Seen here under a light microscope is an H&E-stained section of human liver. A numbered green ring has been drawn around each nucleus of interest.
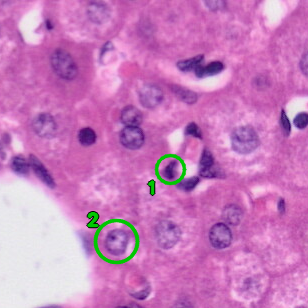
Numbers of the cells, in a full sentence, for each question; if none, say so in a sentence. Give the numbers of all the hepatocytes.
Cell 2 is a hepatocyte; no further numbered cell is.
